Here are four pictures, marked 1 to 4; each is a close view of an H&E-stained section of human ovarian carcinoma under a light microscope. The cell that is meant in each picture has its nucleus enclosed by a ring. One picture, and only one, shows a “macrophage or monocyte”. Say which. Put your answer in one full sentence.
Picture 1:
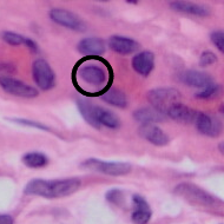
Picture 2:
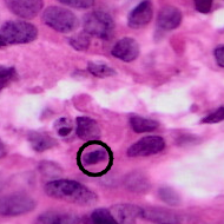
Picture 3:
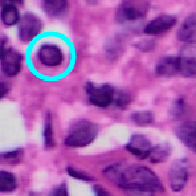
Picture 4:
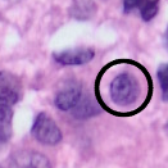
Picture 4 is the one that shows the “macrophage or monocyte”.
